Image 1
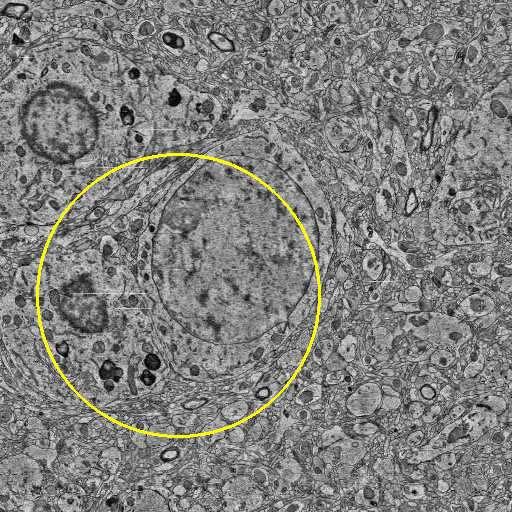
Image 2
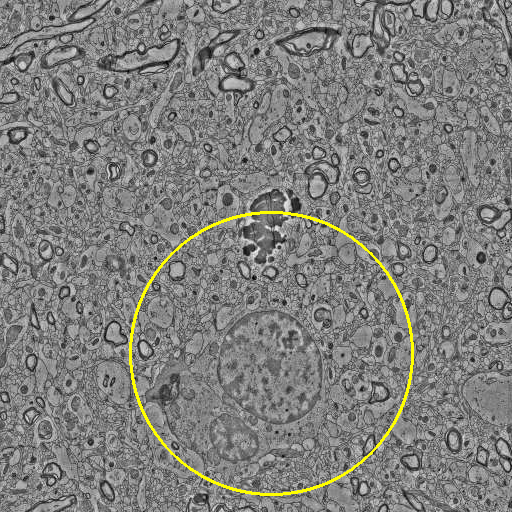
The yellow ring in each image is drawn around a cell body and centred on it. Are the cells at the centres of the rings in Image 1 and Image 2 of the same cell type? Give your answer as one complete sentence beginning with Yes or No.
No, the two cells are of two separate types.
